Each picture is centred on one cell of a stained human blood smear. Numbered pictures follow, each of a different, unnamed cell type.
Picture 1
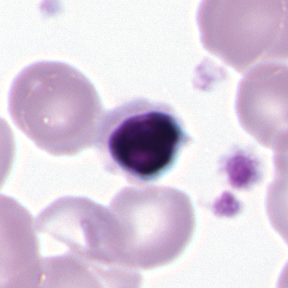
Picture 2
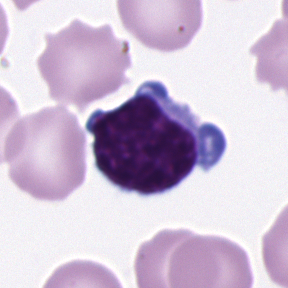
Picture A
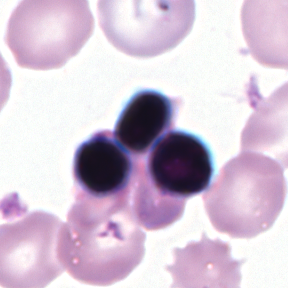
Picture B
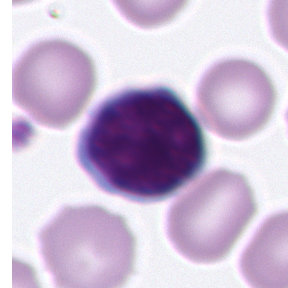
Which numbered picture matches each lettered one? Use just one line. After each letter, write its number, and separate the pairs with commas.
A 1, B 2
